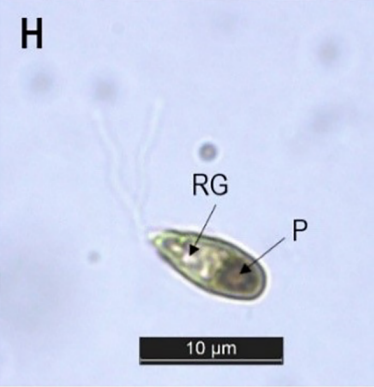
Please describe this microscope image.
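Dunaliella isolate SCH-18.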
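A single elongate-ovoid green algal cell without a rigid wall, bearing two long flagella of similar length at its narrower front end. The cytoplasm is yellow-green, with a bright refractile granule near the front and a darker rounded pyrenoid toward the rear, lying within the chloroplast.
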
